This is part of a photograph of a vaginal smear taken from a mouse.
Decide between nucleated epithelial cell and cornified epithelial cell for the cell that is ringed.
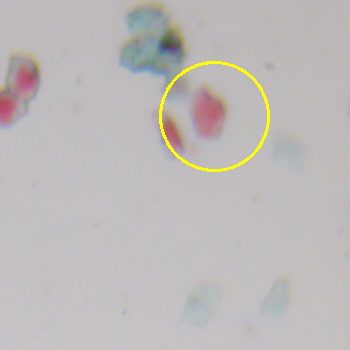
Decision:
I take the ringed cell for a cornified epithelial cell.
